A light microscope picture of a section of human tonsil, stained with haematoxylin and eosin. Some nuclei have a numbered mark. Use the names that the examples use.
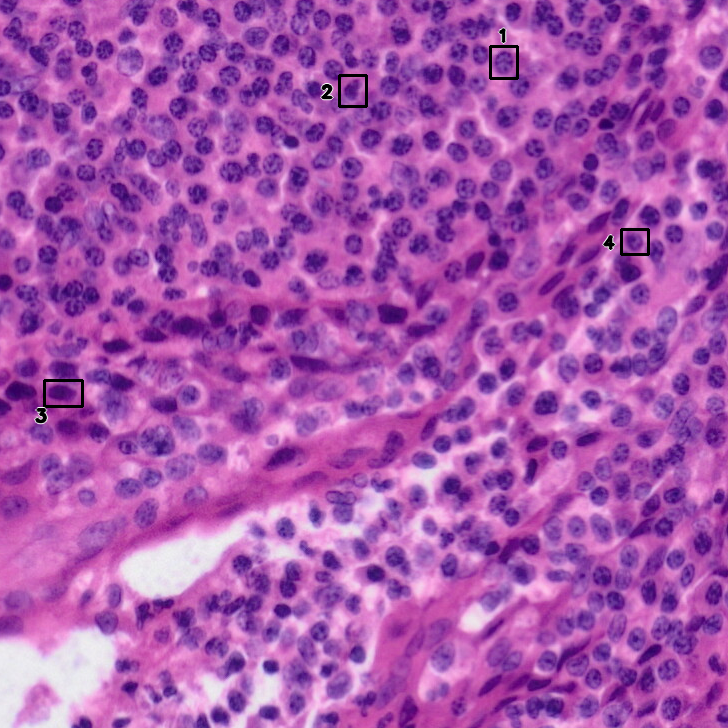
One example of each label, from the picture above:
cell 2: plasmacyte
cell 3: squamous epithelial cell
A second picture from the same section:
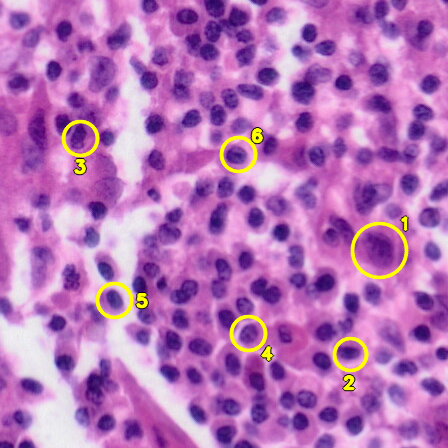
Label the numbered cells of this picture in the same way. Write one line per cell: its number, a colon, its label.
1: squamous epithelial cell
2: plasmacyte
3: squamous epithelial cell
4: plasmacyte
5: plasmacyte
6: plasmacyte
